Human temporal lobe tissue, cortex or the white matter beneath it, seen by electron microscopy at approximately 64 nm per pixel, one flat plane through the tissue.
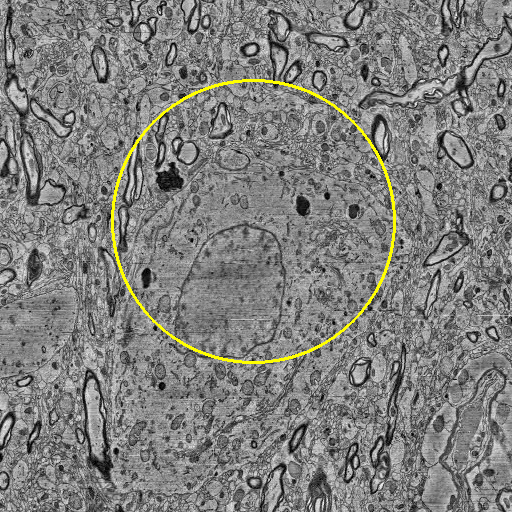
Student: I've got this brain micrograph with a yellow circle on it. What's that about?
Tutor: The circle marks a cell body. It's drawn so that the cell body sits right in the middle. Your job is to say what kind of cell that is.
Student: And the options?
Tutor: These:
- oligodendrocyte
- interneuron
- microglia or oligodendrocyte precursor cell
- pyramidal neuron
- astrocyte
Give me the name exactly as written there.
pyramidal neuron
